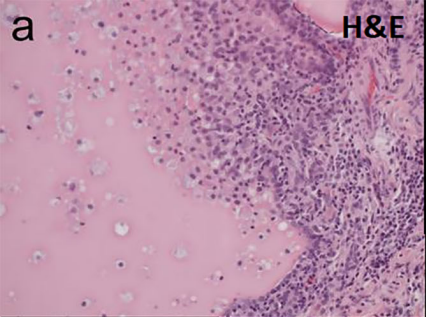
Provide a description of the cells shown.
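Thyroid tissue with a follicle partially destroyed by infiltrating histiocytes. A broad pool of homogeneous pink colloid fills the left part of the field. Scattered single cells with round nuclei float within the colloid. Along its edge a dense band of cells with round to oval purple nuclei presses into the colloid, with no intact lining epithelium. Loose stroma with more infiltrating cells lies beyond this band.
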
